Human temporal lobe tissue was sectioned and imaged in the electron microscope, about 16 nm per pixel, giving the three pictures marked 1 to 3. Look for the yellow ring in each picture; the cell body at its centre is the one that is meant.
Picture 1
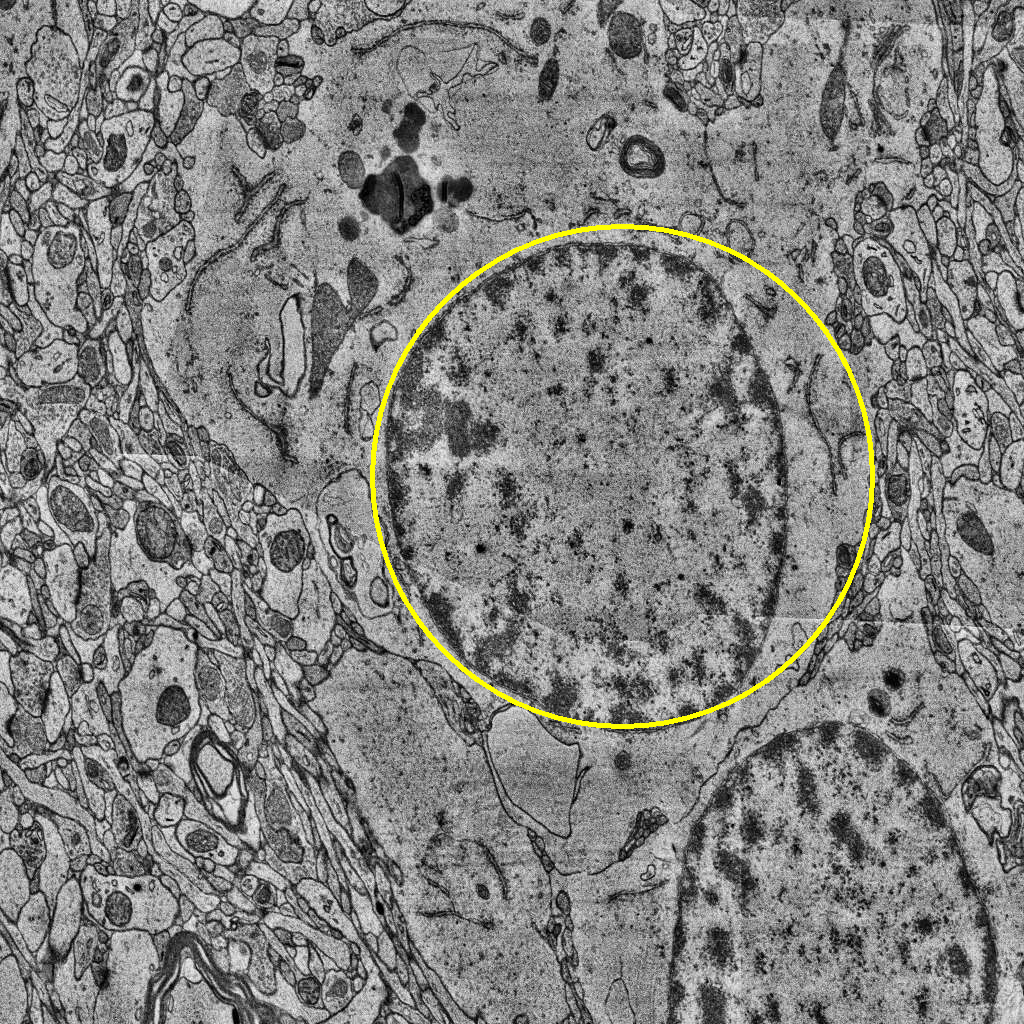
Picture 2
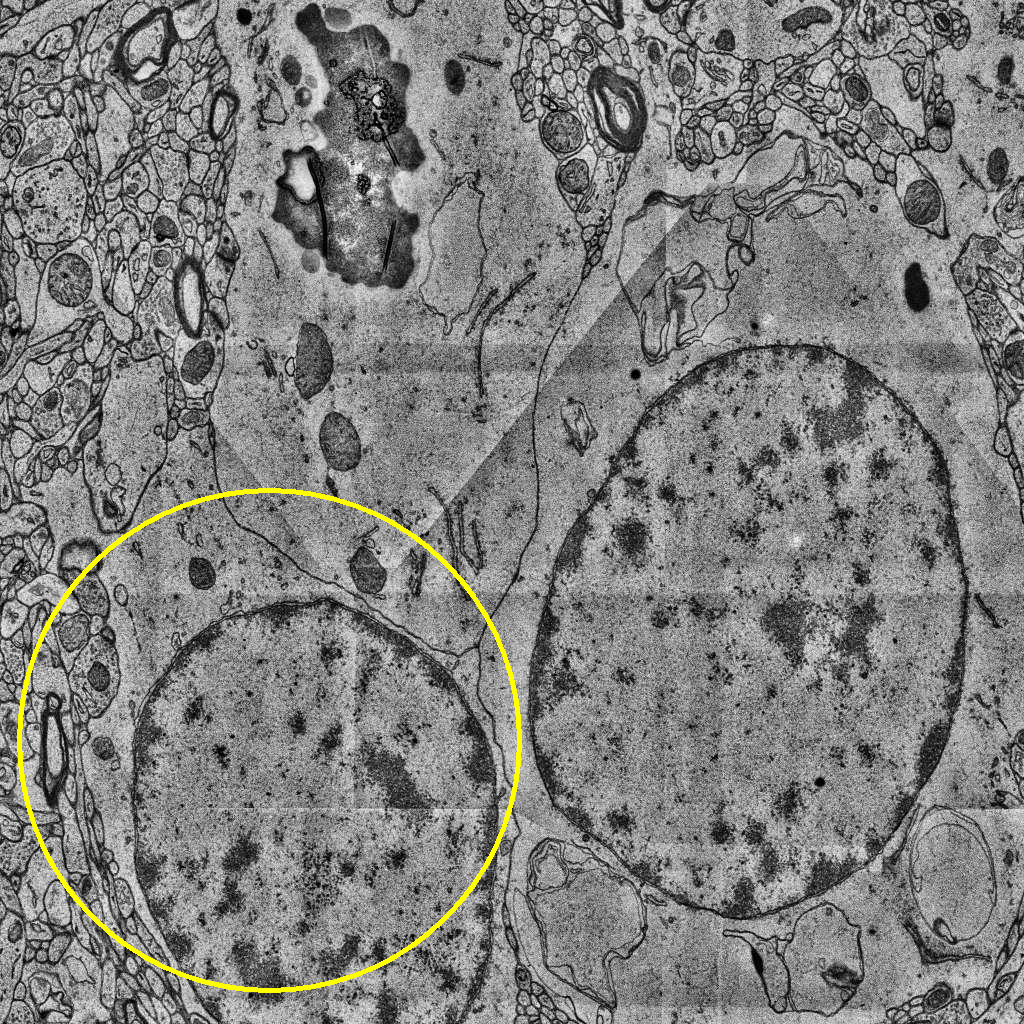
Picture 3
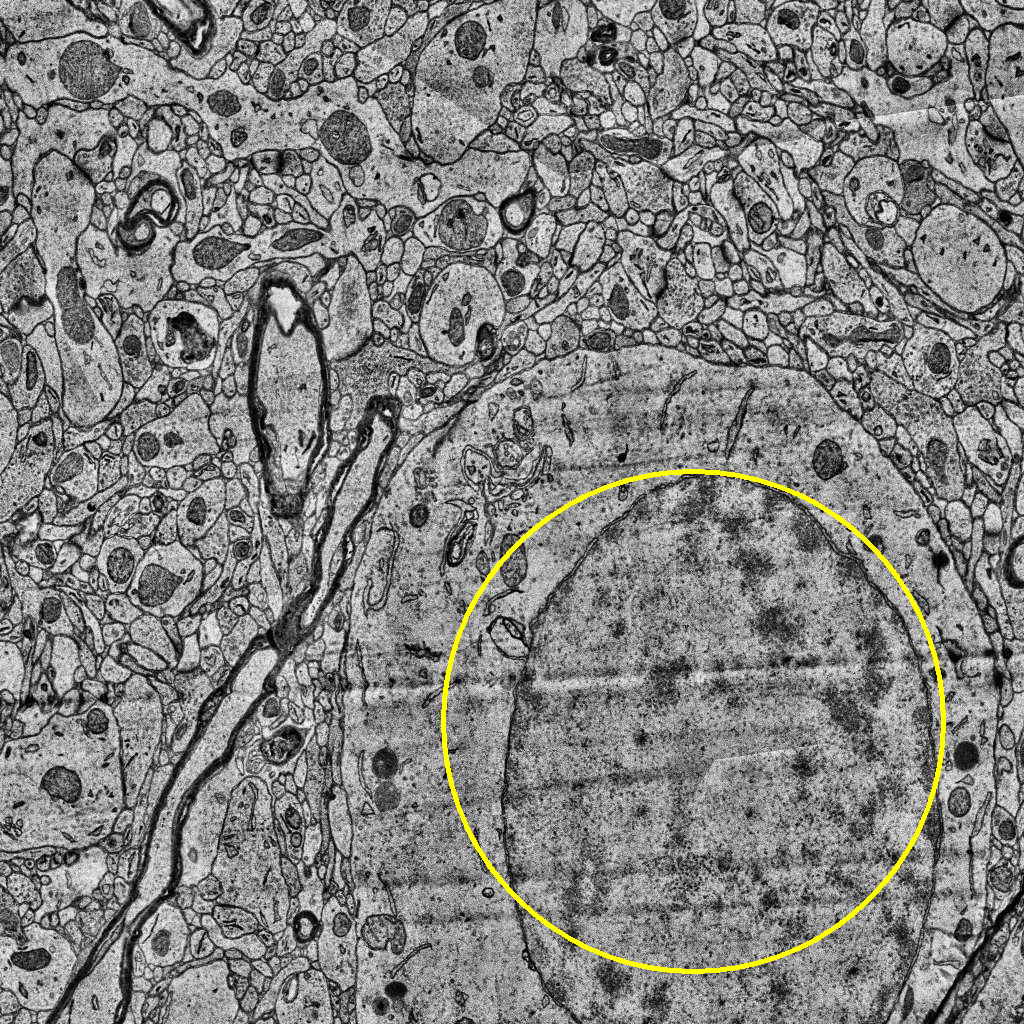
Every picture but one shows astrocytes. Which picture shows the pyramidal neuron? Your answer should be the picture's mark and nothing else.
3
